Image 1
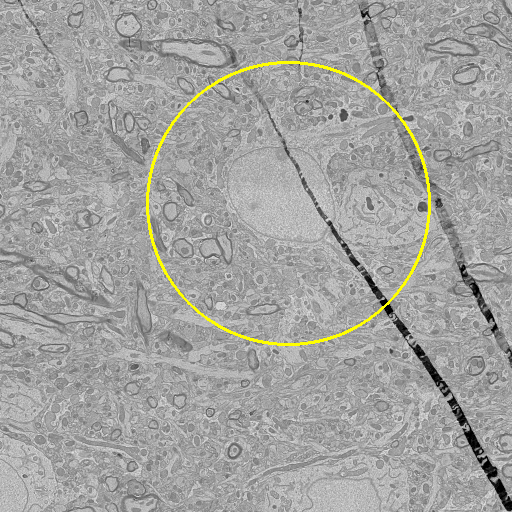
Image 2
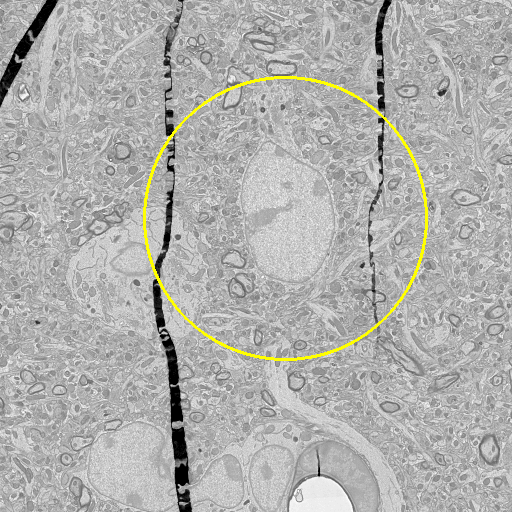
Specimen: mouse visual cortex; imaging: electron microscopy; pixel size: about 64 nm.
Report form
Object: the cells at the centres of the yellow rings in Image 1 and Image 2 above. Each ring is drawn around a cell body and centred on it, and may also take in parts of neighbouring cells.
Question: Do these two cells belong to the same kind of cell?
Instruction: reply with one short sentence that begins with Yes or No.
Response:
Yes, both belong to the same kind of cell.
